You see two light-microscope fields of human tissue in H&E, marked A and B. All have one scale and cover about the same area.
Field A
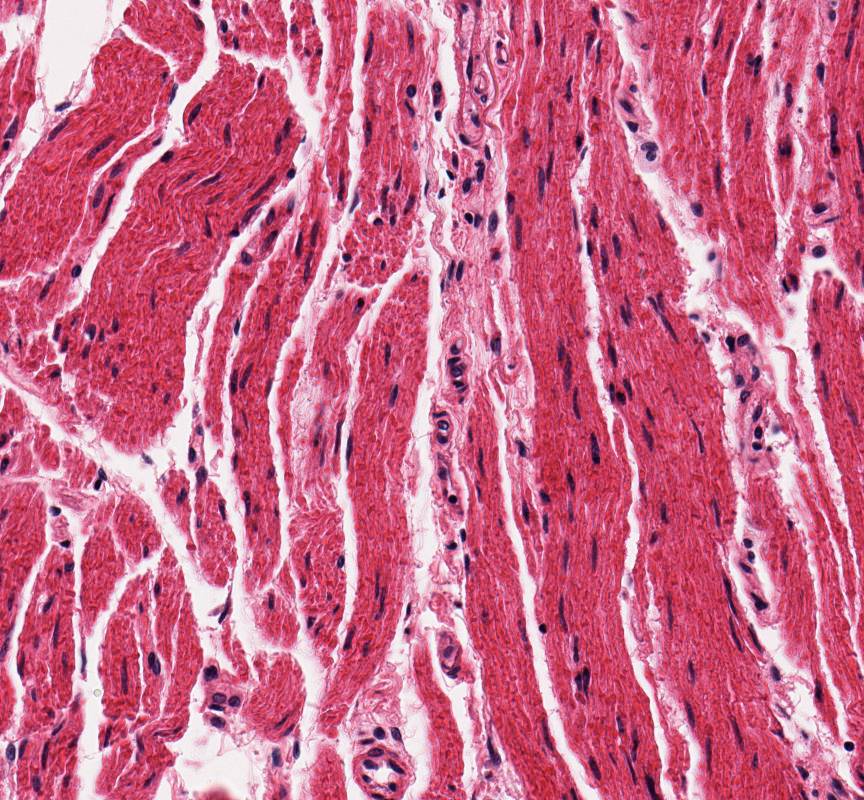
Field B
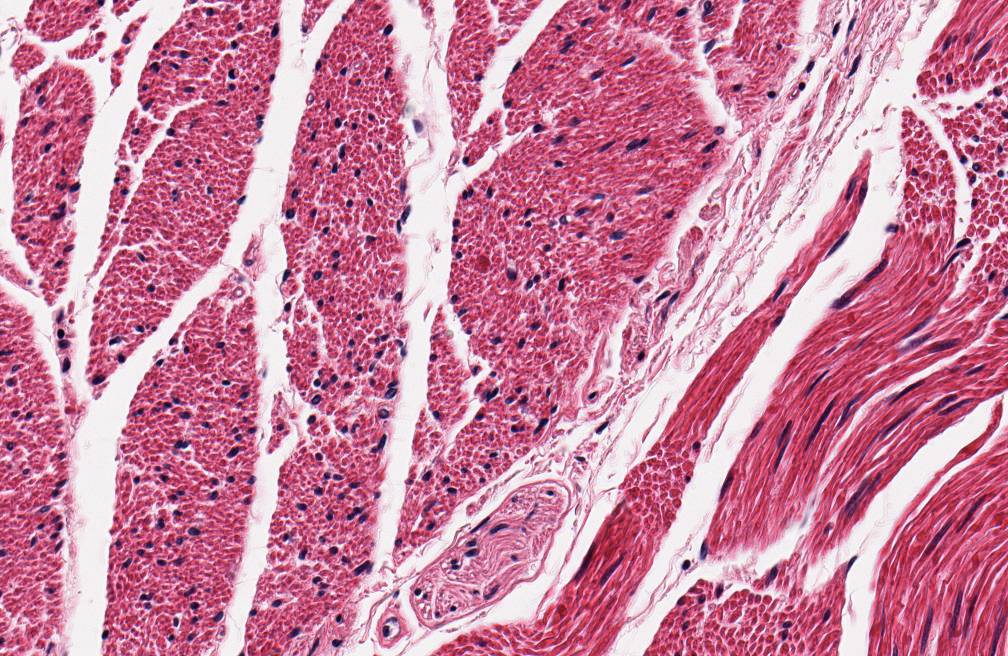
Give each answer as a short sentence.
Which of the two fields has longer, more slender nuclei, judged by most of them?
Longer, more slender nuclei lie in field A.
